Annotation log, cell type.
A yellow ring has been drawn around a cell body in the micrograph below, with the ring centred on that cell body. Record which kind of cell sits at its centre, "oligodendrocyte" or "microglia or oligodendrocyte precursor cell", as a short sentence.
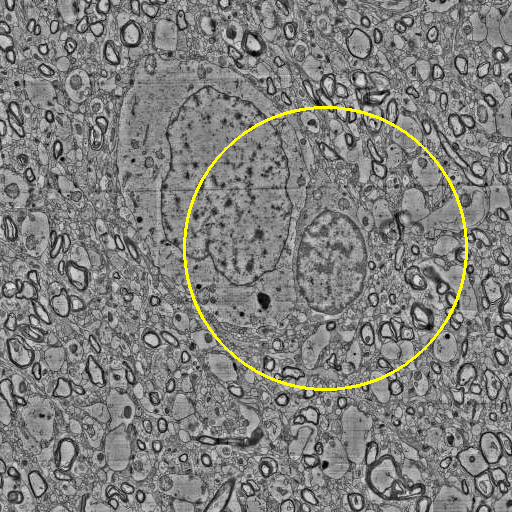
The cell at the centre of this ring is an oligodendrocyte.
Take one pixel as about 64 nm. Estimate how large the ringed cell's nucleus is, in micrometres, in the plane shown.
The nucleus appears roughly 6 by 5 micrometres in this plane.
